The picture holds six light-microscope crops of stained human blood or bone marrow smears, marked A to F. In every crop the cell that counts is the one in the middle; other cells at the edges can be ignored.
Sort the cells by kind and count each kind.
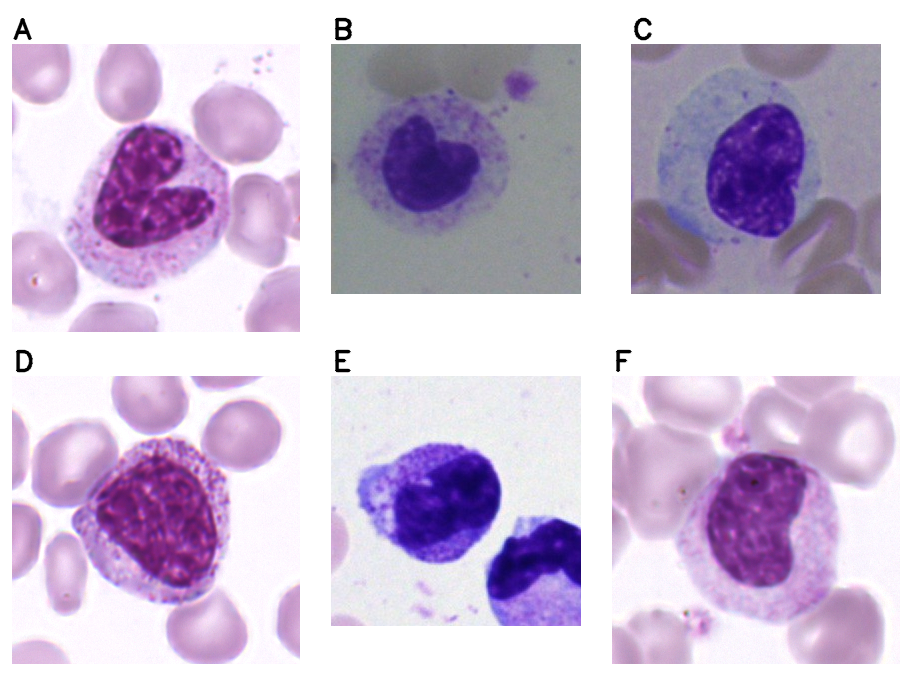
metamyelocyte: 5
band neutrophil: 1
